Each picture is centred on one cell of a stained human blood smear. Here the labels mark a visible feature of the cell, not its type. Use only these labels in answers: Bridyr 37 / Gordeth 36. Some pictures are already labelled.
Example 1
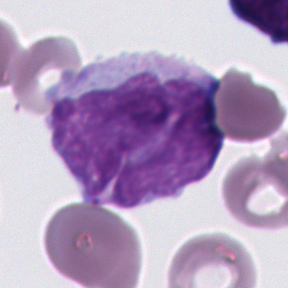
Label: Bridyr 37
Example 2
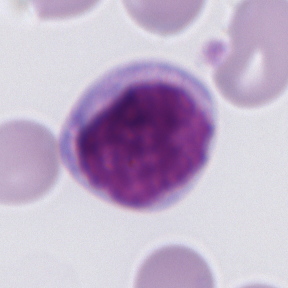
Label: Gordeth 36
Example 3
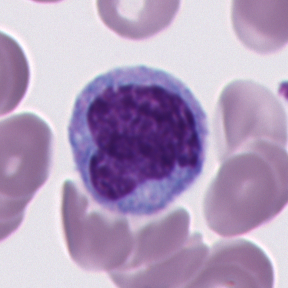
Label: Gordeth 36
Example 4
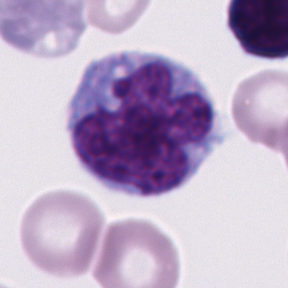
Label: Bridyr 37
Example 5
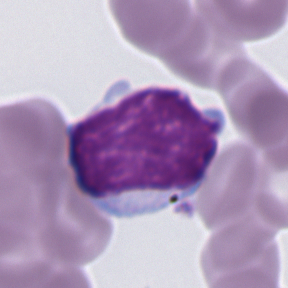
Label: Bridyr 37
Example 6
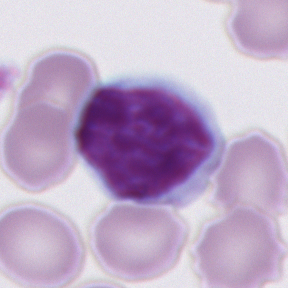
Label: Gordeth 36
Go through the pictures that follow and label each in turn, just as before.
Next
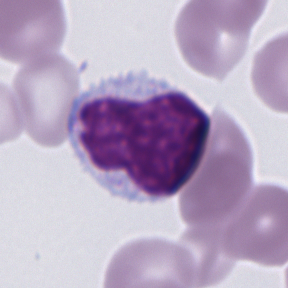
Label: Bridyr 37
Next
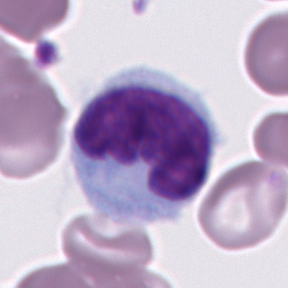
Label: Bridyr 37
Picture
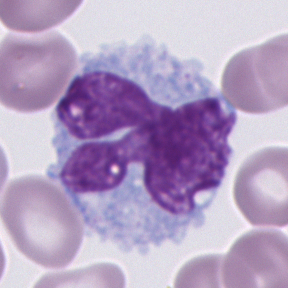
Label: Bridyr 37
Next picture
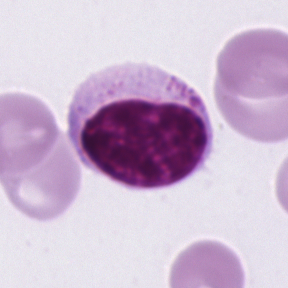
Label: Gordeth 36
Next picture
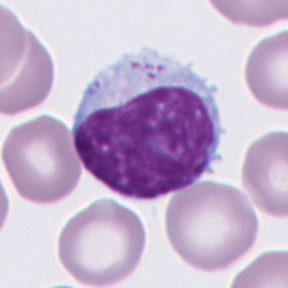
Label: Bridyr 37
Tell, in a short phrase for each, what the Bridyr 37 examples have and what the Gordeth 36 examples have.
Bridyr 37, ragged outline or projections; Gordeth 36, smooth outline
